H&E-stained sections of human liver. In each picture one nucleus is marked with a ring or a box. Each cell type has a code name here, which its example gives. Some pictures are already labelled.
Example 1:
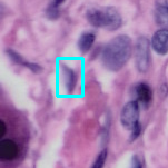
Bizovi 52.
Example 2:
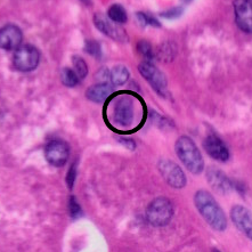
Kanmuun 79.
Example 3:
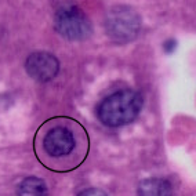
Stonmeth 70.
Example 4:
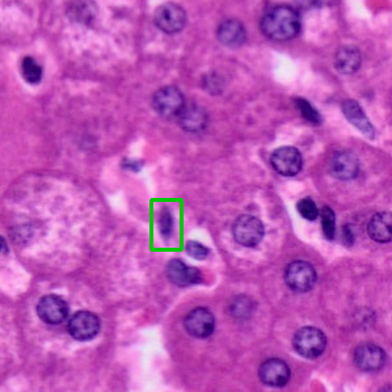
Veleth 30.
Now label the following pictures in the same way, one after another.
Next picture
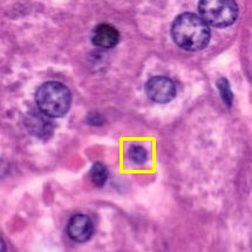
Veleth 30.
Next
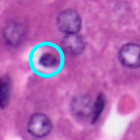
Veleth 30.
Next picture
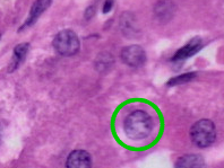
Stonmeth 70.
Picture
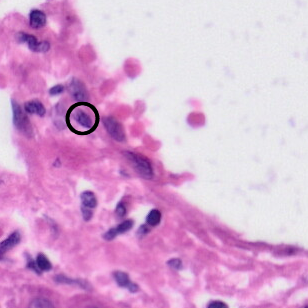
Bizovi 52.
